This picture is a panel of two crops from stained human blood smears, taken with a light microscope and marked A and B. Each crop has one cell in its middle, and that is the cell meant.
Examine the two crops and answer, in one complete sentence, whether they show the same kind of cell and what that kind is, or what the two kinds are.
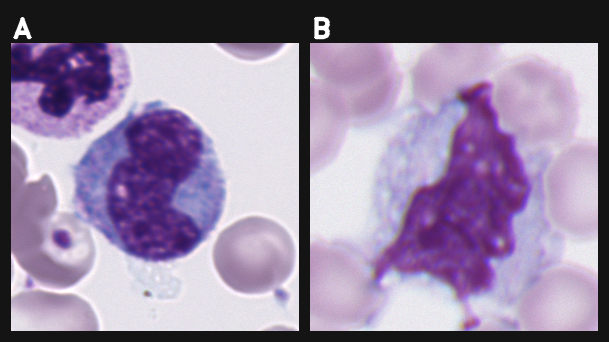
Yes, both crops are centred on monocytes.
